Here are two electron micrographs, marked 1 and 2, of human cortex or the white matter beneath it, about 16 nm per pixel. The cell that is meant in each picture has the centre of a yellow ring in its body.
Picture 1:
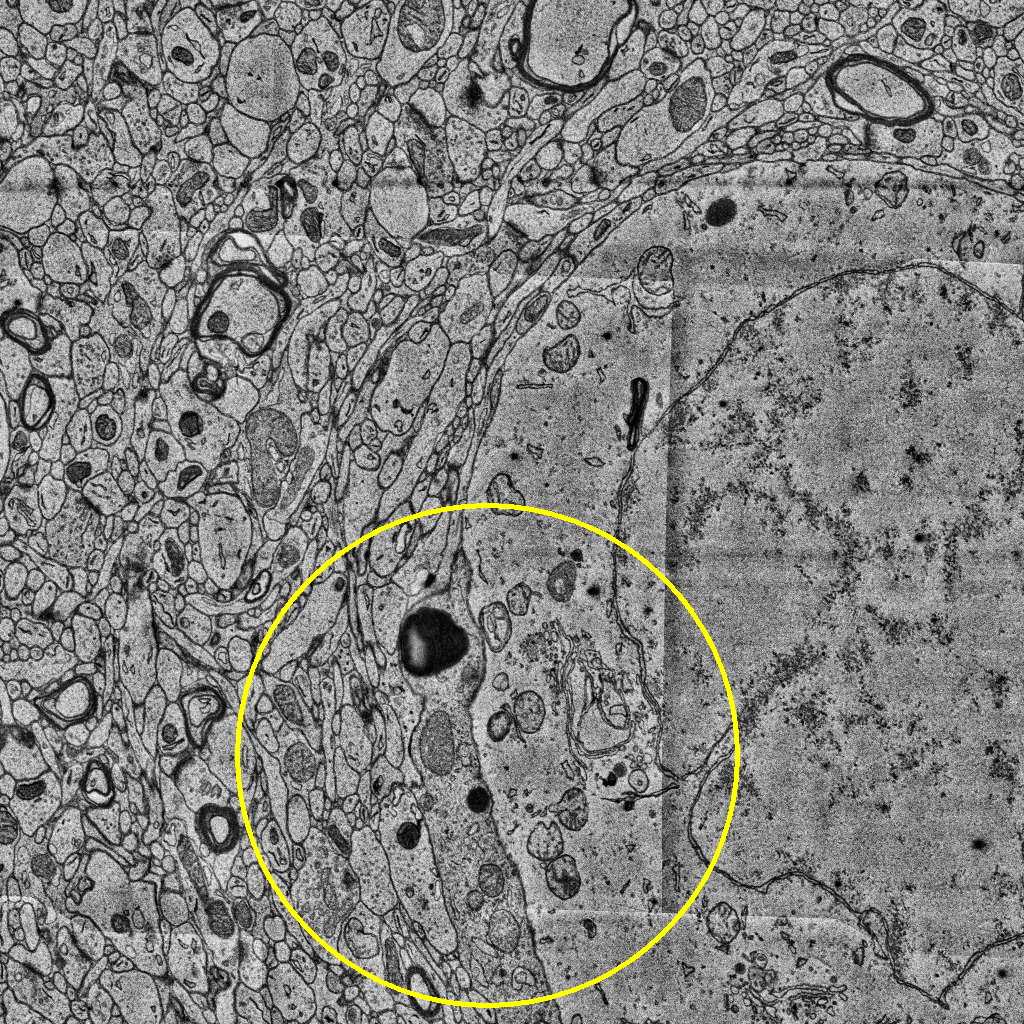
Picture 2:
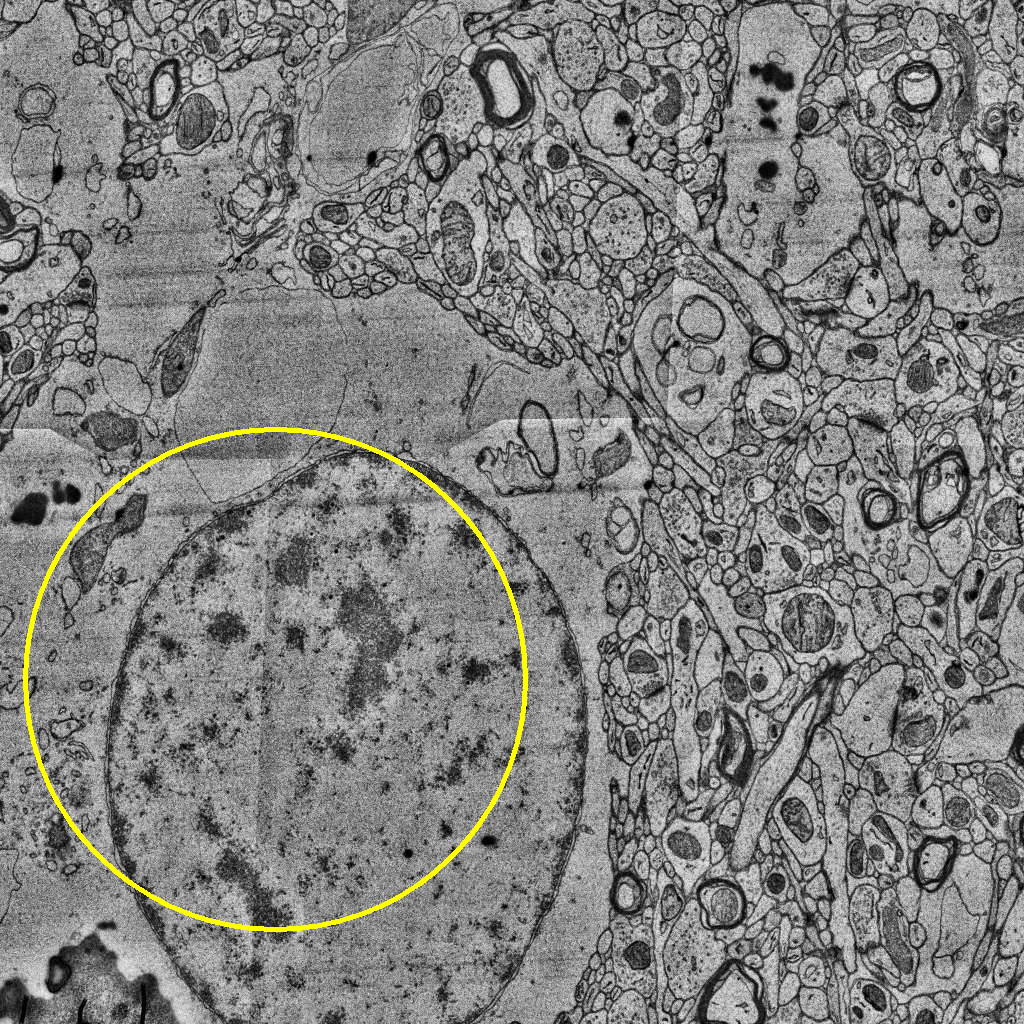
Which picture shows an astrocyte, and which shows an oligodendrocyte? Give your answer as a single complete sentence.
Picture 1 is of an oligodendrocyte, and picture 2 is of an astrocyte.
